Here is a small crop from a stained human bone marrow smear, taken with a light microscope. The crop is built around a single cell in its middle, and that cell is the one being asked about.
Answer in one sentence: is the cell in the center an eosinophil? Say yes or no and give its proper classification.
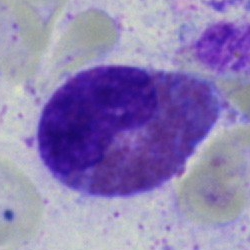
Yes, the cell in the middle of the view is an eosinophil.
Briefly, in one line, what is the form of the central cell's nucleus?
See how the nucleus sits as one compact round, oval or kidney-shaped mass.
